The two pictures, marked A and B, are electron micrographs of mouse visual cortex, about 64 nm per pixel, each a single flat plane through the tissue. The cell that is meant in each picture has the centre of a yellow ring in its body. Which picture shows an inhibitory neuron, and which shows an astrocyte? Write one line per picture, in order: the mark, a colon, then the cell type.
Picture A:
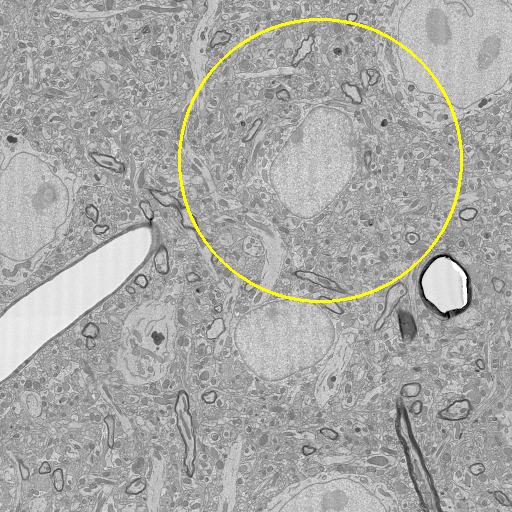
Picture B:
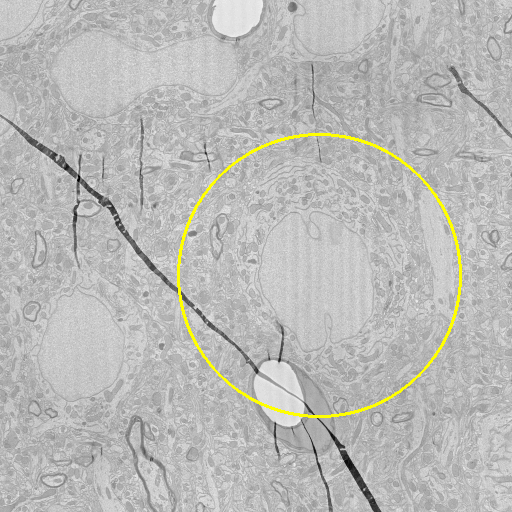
A: astrocyte
B: inhibitory neuron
